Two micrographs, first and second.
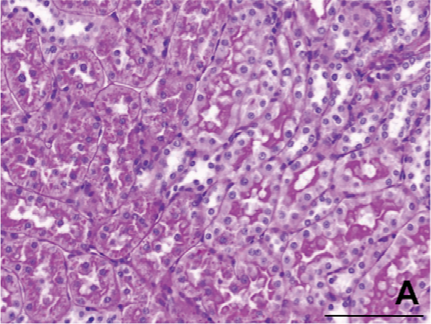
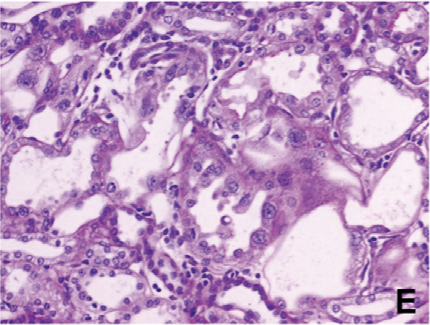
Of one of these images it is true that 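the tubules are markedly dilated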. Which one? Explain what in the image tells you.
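Second image: many tubules have wide, empty lumens lined by flattened cells. First image: tubules are closely packed with small lumens and tall cuboidal epithelium. So: the second image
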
